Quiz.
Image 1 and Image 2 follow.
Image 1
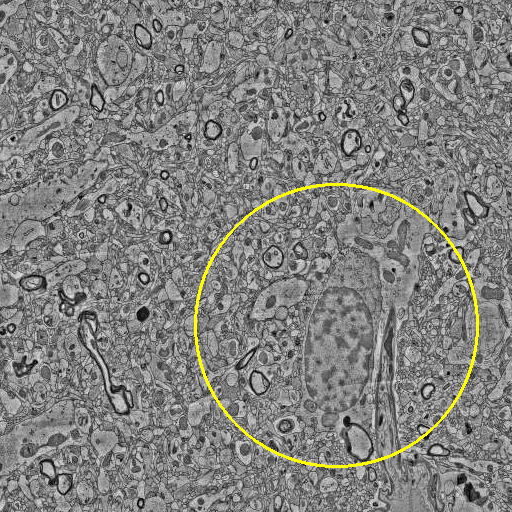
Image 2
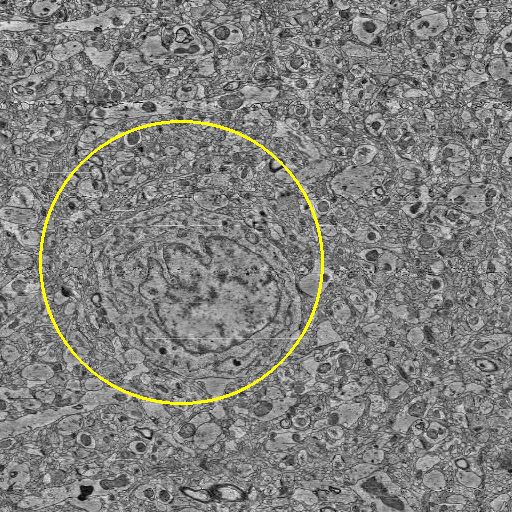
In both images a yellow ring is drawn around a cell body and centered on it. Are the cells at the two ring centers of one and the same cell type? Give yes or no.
no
